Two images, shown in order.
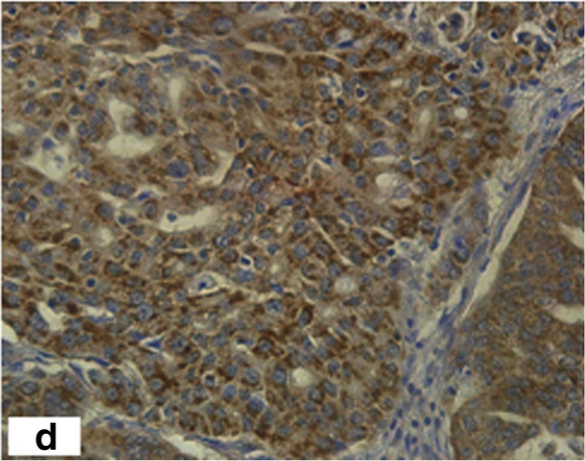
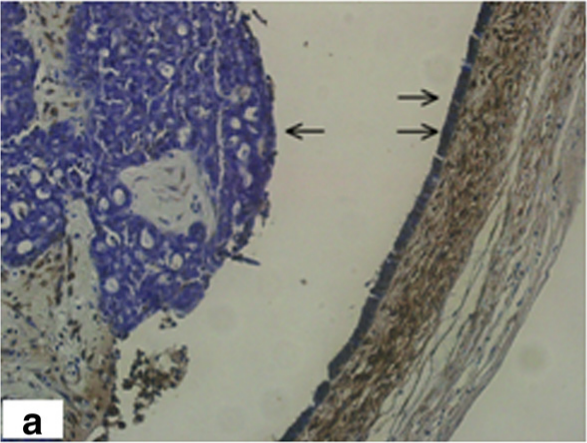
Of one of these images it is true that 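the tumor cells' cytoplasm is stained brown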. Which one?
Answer: The first image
